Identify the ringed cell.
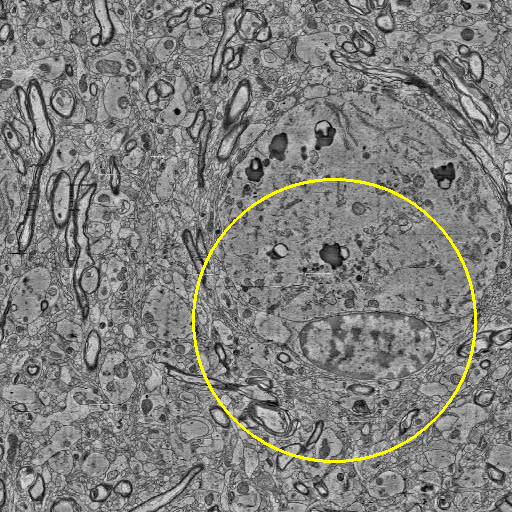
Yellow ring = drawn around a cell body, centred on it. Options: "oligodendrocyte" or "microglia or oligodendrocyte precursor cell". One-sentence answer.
What the ring is centred on is a microglial cell or oligodendrocyte precursor cell.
